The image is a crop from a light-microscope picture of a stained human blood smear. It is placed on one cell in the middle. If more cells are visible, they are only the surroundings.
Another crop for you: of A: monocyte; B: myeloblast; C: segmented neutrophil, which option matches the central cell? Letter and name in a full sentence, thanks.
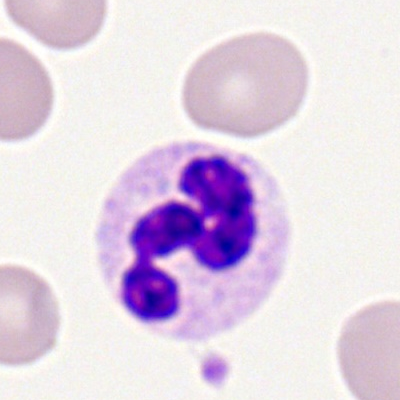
In the centre of the crop there is a segmented neutrophil, making option C correct.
